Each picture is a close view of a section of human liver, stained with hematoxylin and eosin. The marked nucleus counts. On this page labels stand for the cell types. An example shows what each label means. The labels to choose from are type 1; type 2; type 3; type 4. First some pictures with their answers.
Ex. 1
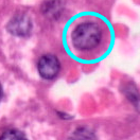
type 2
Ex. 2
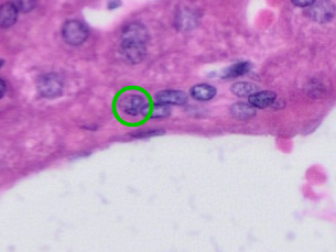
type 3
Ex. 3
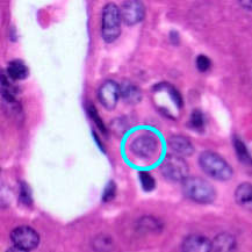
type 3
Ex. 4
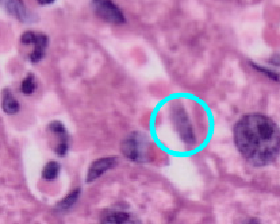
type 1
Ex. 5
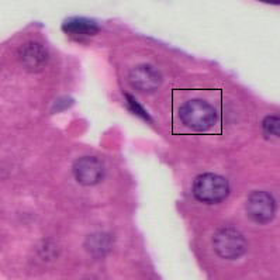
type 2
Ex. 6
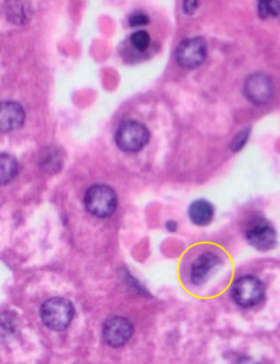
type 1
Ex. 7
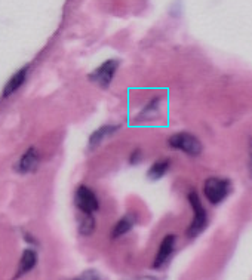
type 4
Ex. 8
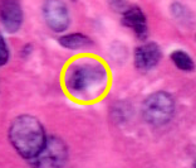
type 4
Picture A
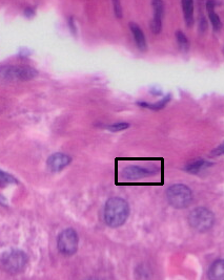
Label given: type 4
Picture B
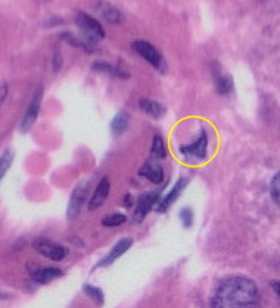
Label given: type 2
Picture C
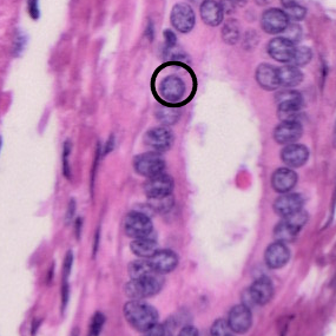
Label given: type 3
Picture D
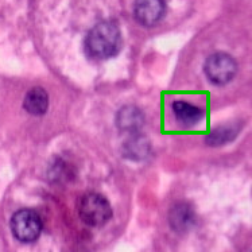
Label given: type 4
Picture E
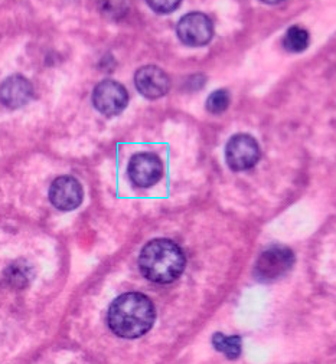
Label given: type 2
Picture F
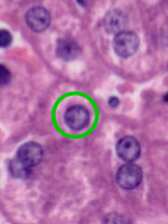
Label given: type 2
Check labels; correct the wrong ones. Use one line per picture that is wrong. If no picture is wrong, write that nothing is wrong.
B: not type 2 but type 4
